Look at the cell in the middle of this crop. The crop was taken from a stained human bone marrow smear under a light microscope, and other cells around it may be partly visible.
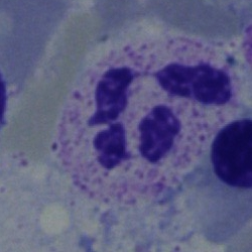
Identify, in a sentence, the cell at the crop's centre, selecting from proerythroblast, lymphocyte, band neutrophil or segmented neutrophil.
On this slide crop, the central cell is a segmented neutrophil.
